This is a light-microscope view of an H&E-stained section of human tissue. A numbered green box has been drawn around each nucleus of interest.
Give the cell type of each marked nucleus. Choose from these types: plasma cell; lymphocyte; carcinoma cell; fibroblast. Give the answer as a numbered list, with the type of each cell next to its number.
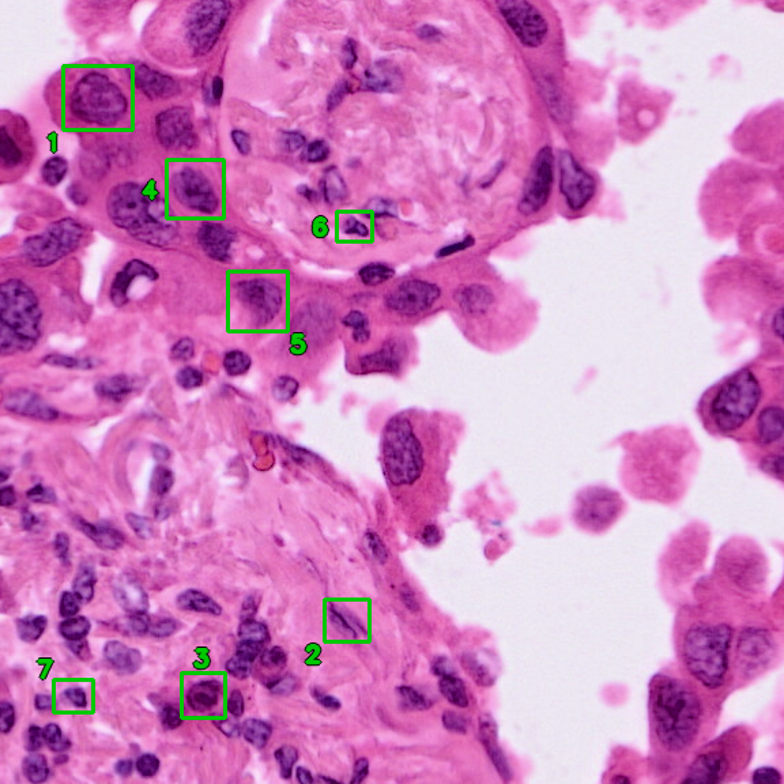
1. carcinoma cell
2. fibroblast
3. plasma cell
4. carcinoma cell
5. carcinoma cell
6. lymphocyte
7. lymphocyte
